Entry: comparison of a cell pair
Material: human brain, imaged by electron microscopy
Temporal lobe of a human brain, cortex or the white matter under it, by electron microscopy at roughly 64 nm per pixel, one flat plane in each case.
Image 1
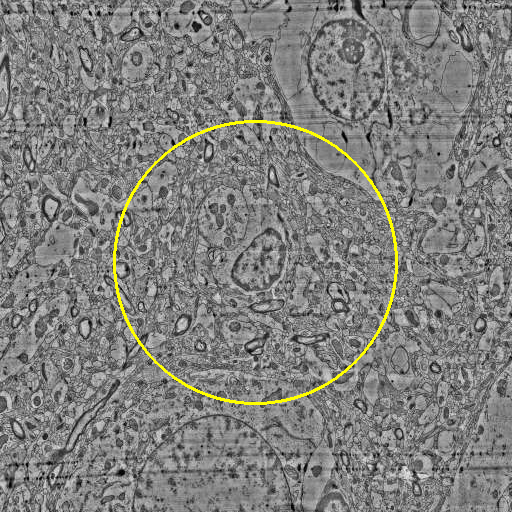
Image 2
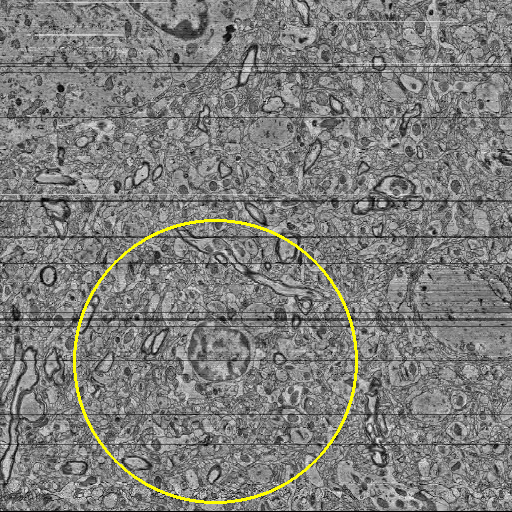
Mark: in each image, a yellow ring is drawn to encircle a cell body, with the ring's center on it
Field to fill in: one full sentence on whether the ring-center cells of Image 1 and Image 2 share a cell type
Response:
Yes, Image 1 and Image 2 each show a ring-center cell of one shared type.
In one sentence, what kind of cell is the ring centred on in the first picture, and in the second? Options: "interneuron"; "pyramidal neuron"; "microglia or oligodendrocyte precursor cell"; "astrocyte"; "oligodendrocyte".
In both pictures the ring is centred on a microglial cell or oligodendrocyte precursor cell.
